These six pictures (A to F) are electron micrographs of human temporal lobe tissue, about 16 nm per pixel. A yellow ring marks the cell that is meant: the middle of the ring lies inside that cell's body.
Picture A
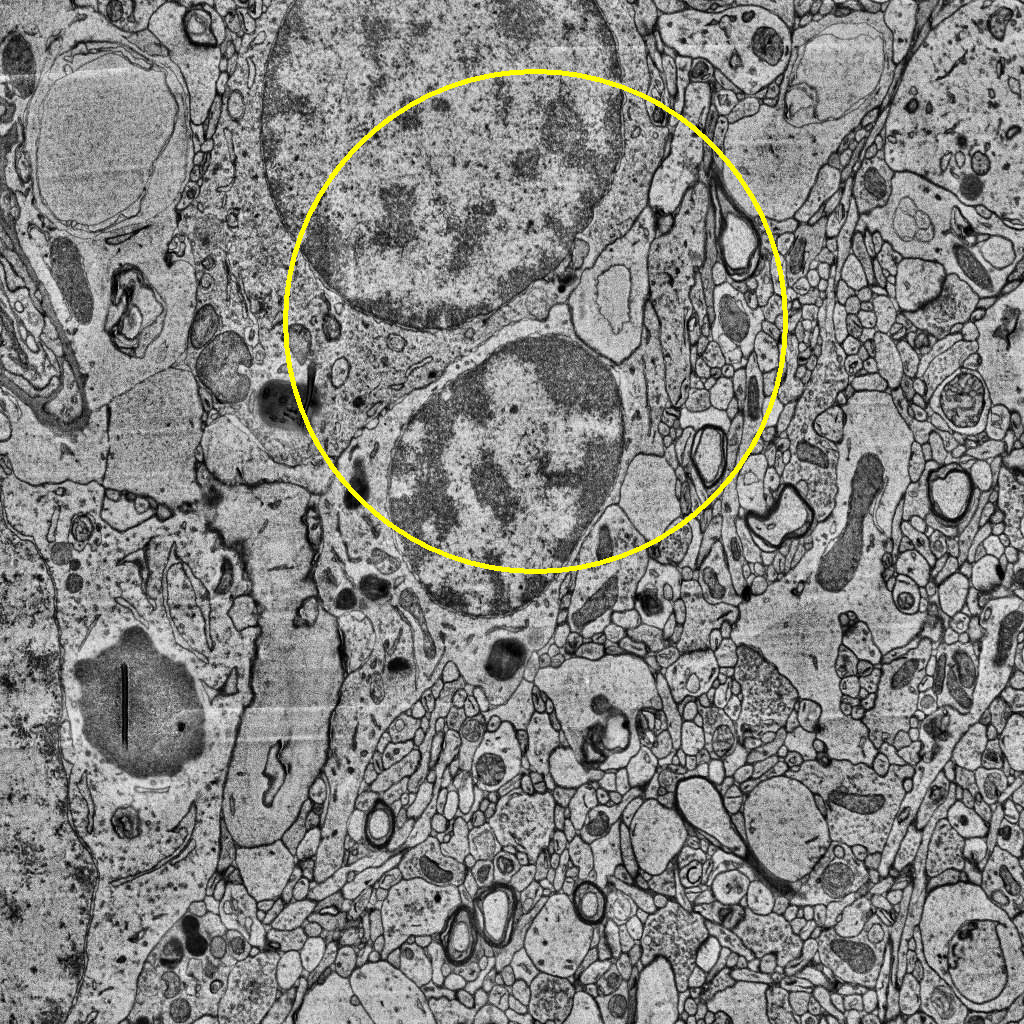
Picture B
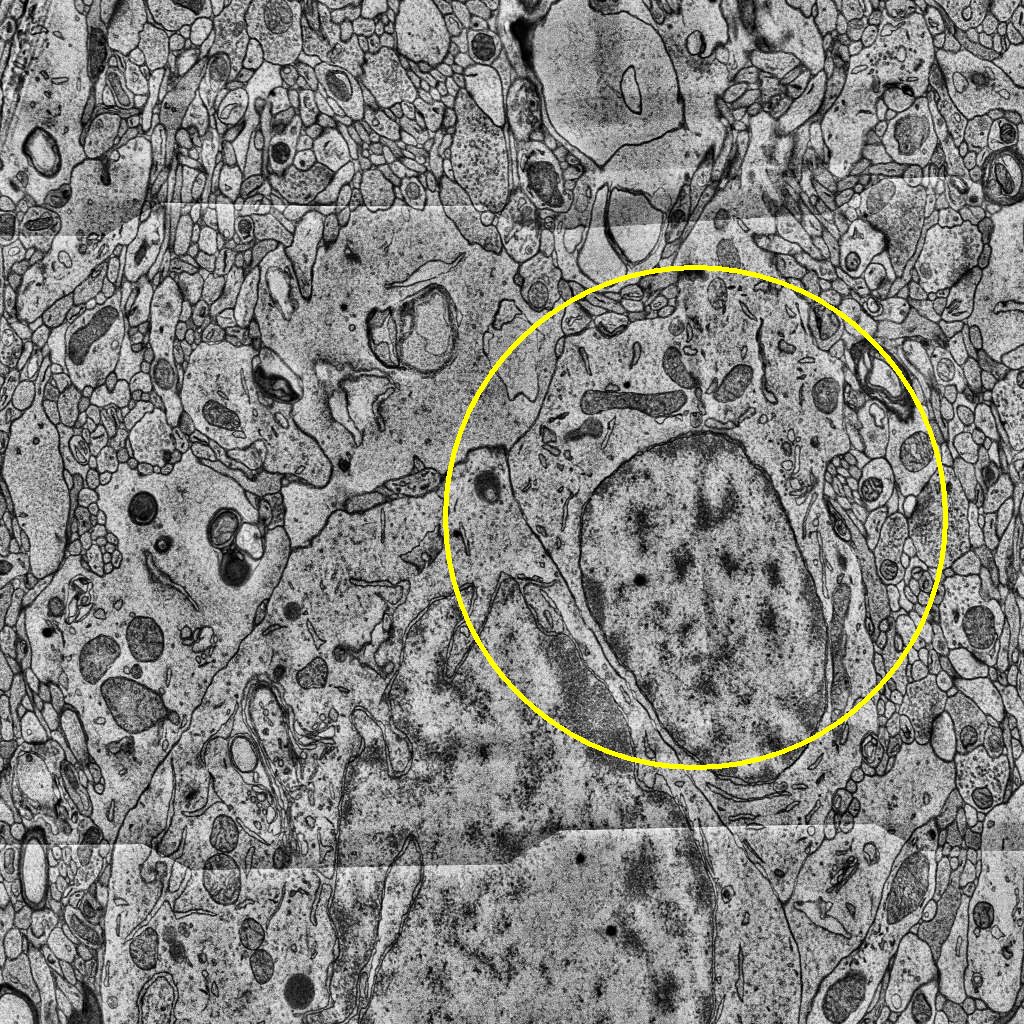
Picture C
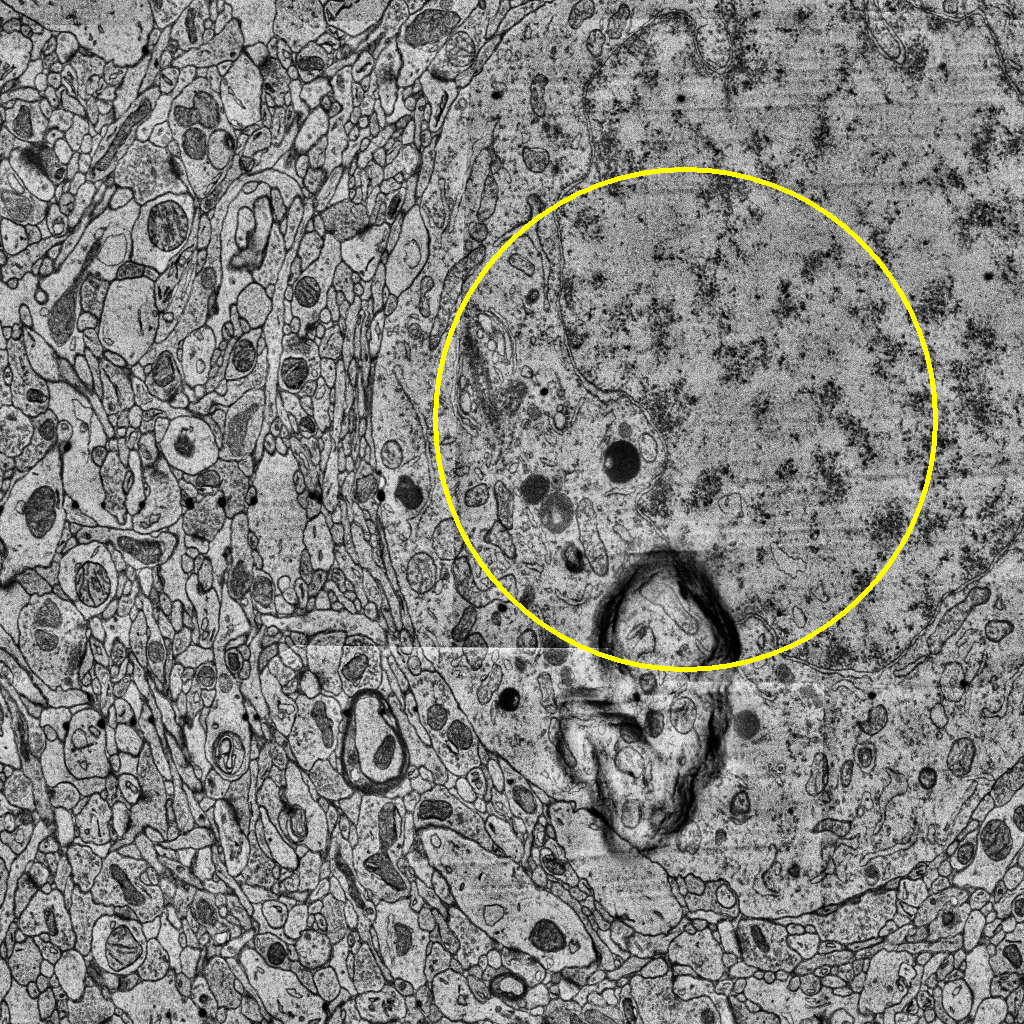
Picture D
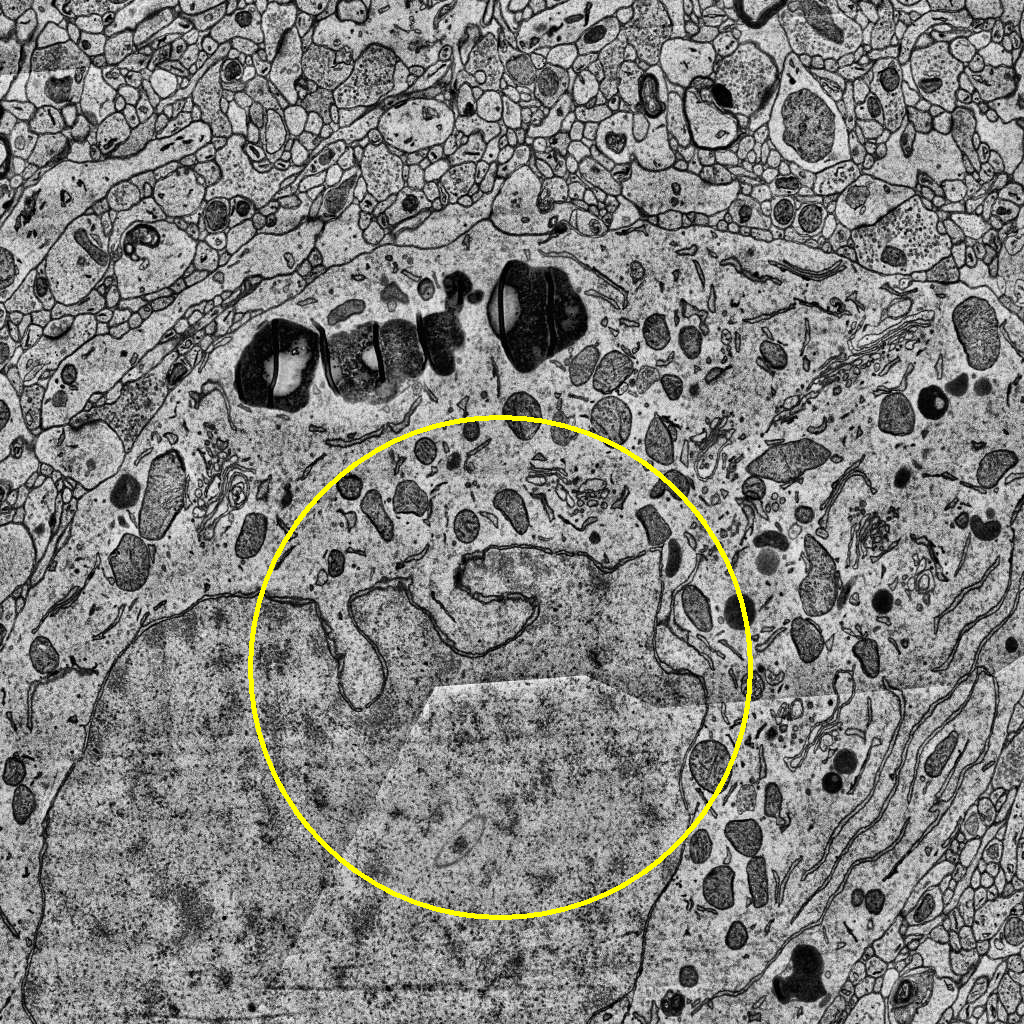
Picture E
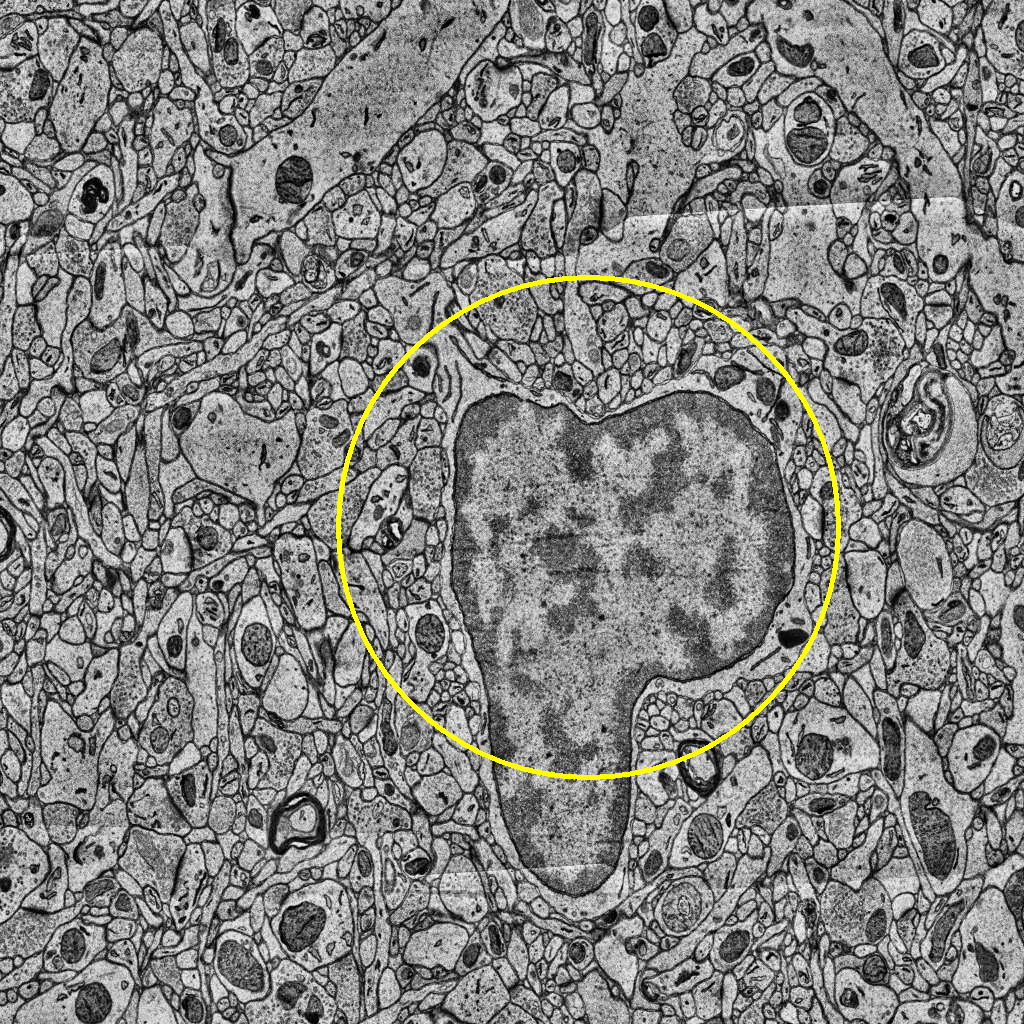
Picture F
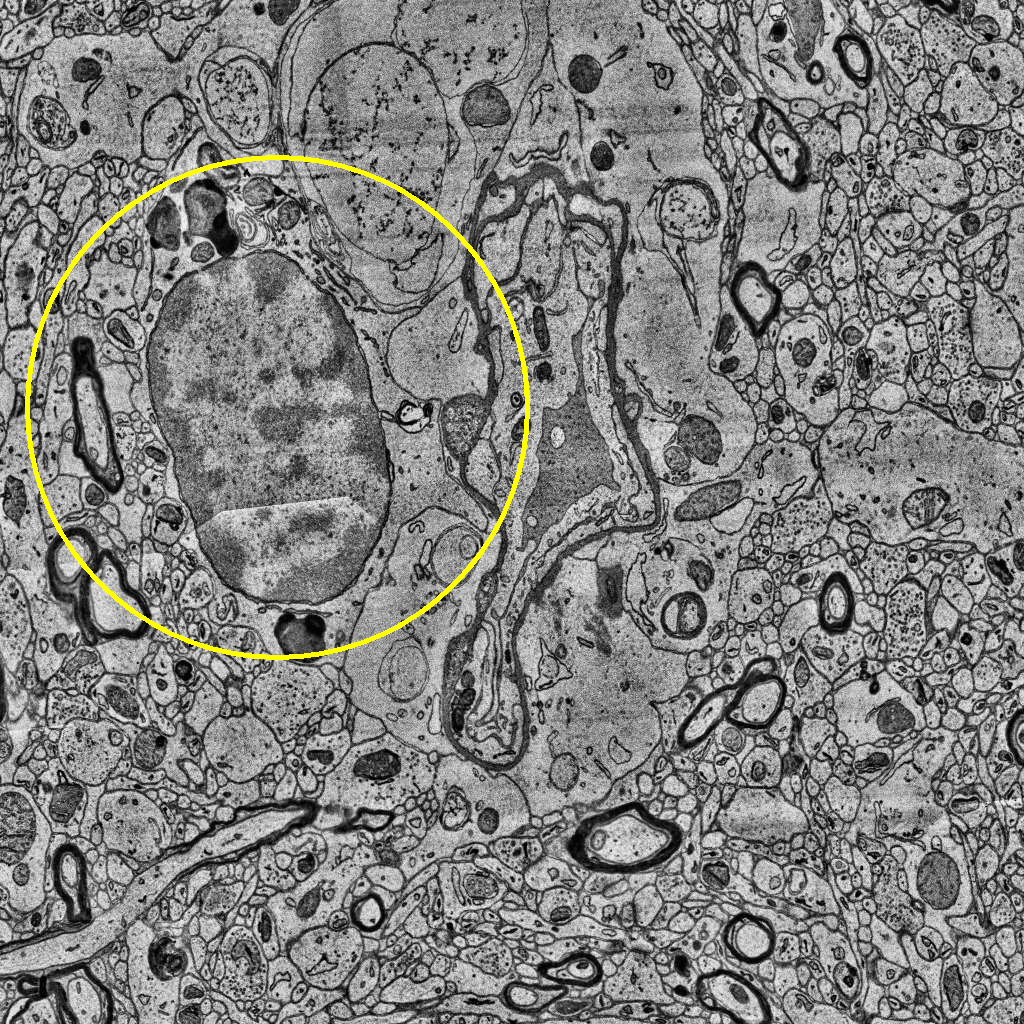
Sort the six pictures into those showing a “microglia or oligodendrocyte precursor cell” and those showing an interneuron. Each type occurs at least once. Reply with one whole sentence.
Pictures A, B, E and F show “microglia or oligodendrocyte precursor cells”, while pictures C and D show interneurons.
